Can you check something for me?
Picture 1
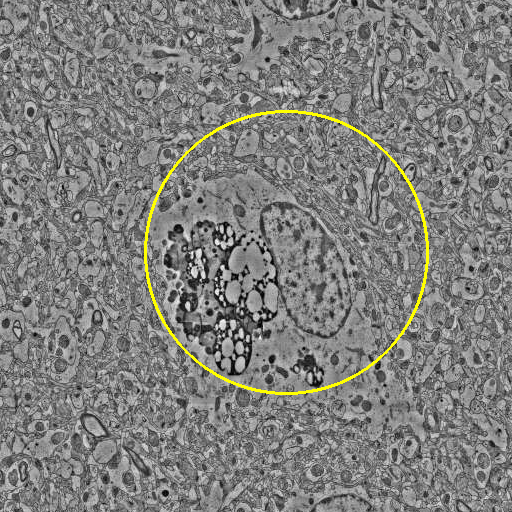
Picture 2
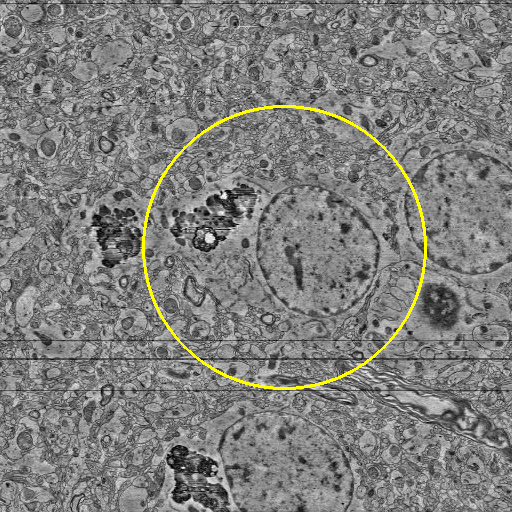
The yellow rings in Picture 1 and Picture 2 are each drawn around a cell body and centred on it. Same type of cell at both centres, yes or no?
yes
